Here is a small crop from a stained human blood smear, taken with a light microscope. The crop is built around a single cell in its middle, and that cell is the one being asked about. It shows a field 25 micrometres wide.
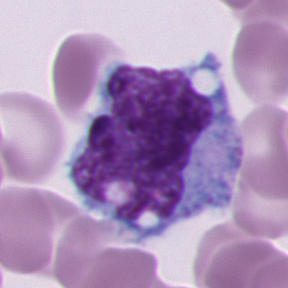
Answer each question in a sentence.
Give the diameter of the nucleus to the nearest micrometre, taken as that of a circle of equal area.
Taken as a circle, the nucleus has a diameter of about 11 micrometres.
